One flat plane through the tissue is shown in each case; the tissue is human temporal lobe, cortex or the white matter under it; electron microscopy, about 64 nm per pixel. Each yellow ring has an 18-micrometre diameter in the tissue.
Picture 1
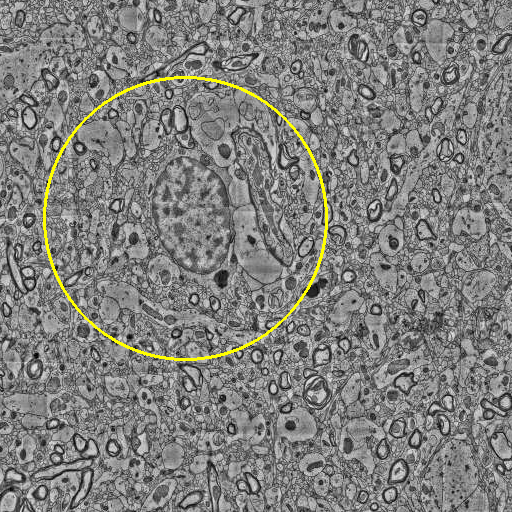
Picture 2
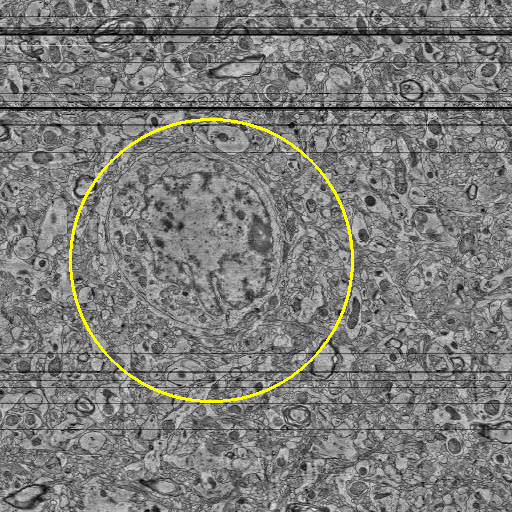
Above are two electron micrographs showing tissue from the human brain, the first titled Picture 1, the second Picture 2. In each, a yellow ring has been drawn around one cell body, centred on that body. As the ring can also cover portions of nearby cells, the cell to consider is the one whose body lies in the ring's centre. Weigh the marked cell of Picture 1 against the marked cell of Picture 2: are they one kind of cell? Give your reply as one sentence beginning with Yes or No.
No, the two cells sitting at the ring centres in the pictures are of two kinds.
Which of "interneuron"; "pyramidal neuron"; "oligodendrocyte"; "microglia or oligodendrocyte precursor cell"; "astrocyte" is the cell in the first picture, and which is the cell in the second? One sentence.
The two differ: the first cell is an oligodendrocyte and the second is an interneuron.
